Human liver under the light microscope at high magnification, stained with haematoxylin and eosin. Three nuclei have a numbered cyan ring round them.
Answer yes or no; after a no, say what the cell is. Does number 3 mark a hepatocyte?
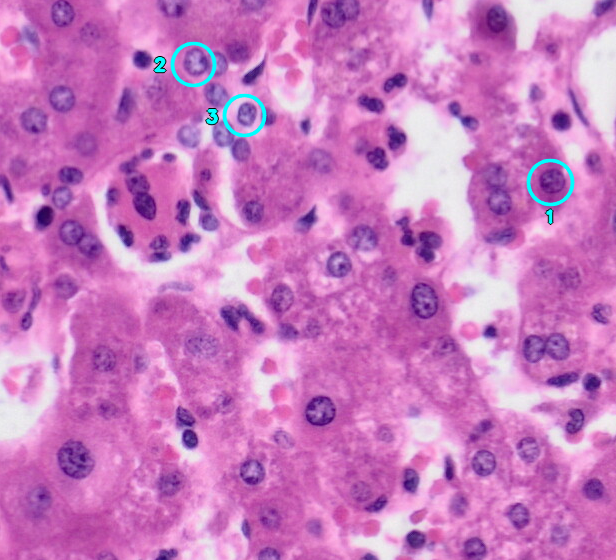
No, it is a cholangiocyte.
